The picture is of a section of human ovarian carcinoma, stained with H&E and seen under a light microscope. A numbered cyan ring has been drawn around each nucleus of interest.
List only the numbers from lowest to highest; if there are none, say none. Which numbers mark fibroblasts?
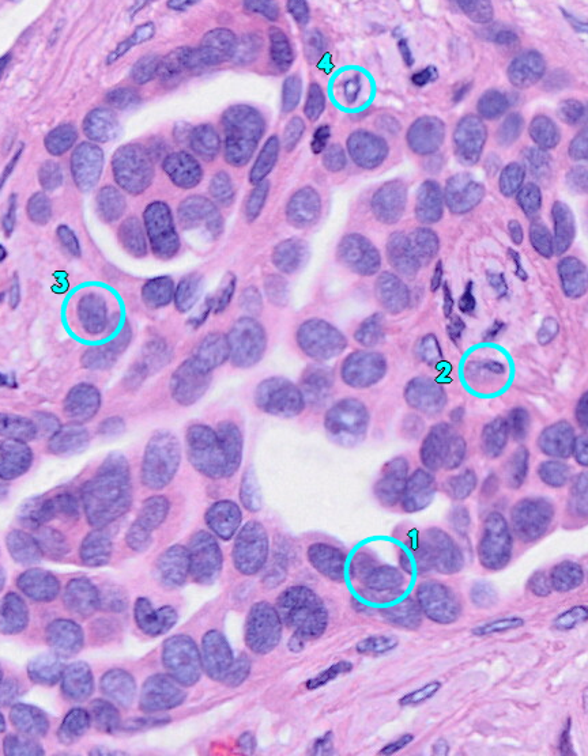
2, 4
